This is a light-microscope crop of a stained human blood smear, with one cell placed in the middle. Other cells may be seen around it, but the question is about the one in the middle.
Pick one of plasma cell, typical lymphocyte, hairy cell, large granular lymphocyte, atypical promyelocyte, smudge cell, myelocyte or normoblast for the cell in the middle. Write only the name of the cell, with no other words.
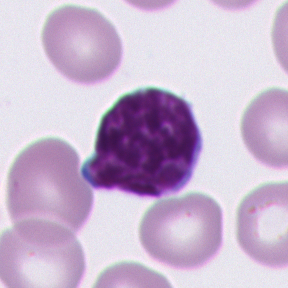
typical lymphocyte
